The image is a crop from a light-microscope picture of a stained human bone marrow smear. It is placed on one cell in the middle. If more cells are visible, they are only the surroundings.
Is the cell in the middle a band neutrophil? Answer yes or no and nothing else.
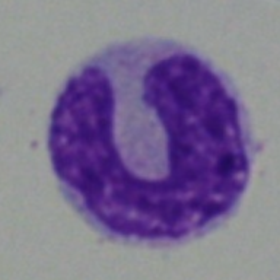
yes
